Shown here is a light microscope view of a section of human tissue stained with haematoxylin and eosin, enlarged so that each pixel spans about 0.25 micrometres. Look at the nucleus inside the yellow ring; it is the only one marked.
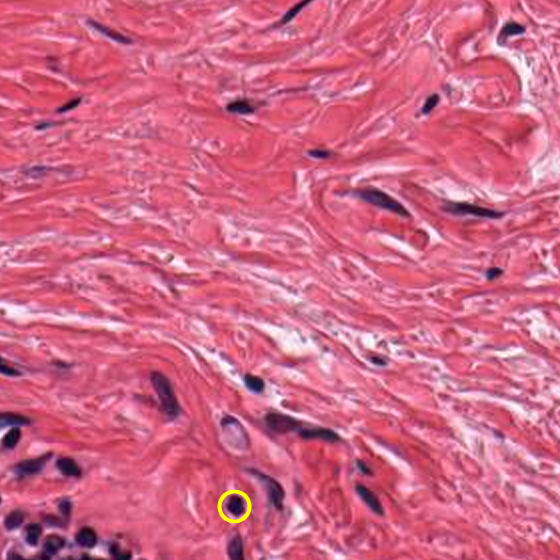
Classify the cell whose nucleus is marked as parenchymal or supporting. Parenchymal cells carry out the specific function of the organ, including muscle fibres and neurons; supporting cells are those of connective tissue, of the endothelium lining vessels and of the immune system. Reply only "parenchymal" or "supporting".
supporting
